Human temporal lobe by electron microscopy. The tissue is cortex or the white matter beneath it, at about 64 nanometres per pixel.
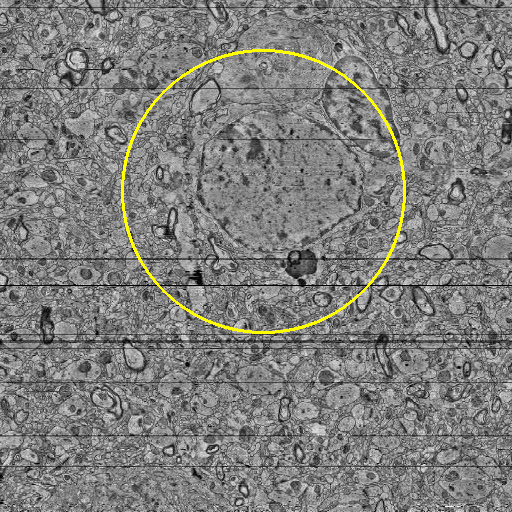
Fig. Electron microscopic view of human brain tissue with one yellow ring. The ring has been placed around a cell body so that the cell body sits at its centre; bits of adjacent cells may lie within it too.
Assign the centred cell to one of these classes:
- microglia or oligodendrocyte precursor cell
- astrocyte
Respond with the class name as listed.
astrocyte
